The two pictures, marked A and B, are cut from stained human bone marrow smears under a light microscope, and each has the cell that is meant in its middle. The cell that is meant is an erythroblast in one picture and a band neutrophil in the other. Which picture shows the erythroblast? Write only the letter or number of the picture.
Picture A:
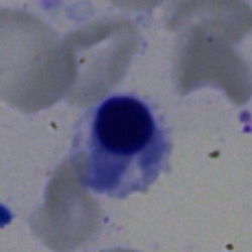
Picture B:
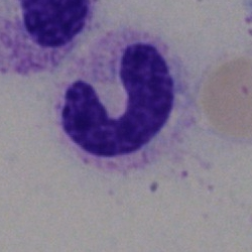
A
